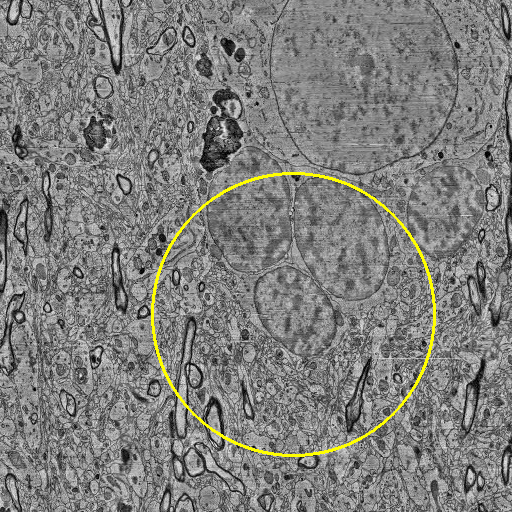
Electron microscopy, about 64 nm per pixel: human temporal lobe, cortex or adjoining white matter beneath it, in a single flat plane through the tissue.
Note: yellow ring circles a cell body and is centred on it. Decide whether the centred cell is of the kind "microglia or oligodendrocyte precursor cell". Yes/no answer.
No, the centred cell is of another kind.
